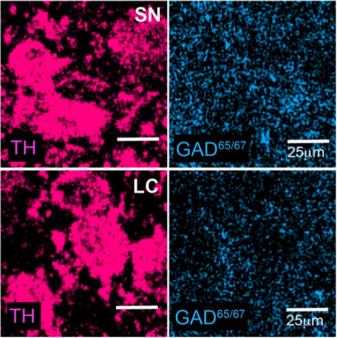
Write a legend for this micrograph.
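In the magenta images large, irregularly shaped cell bodies are packed into clusters that fill much of the field, their outlines ragged and merging, separated by dark gaps. In the blue images of the same fields a dense, fine, punctate and thread-like network spreads evenly across the whole area, without distinct cell bodies standing out.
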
